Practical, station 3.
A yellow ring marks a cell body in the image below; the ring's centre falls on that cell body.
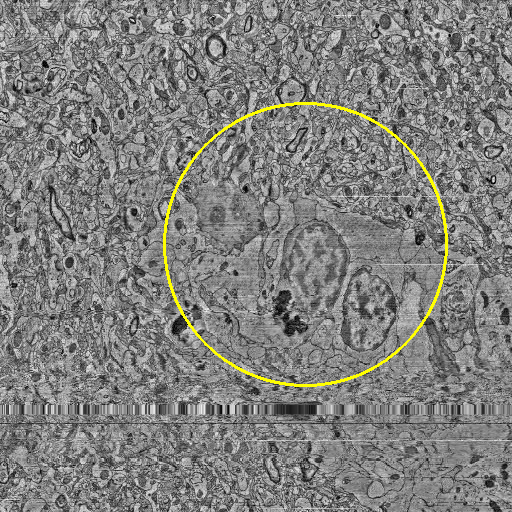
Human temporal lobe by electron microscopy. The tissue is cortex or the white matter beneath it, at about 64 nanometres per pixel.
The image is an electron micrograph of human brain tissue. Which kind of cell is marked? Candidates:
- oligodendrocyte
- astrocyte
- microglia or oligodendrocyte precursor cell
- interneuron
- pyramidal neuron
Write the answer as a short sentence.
The marked cell body is that of an oligodendrocyte.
